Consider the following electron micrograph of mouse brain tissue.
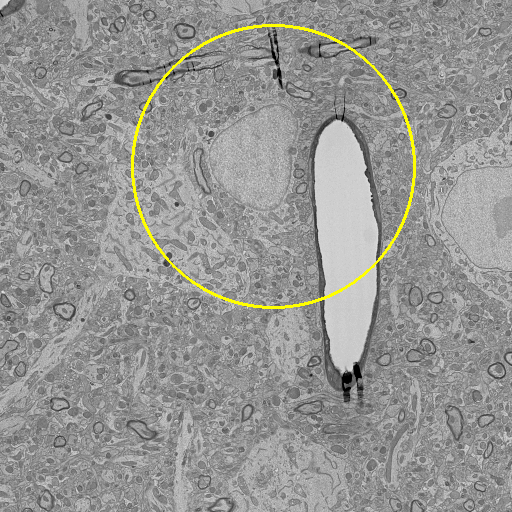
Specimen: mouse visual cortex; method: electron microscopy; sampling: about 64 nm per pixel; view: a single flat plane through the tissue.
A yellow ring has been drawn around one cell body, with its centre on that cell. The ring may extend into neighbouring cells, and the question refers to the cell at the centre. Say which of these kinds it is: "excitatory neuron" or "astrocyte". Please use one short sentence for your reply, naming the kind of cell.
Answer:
The centre of the ring falls on an astrocyte.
